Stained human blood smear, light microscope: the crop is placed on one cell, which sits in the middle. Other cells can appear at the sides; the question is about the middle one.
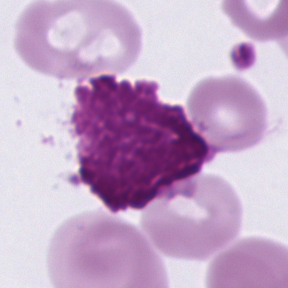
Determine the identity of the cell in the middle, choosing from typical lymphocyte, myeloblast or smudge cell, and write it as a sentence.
The cell centred in this crop is categorized as a smudge cell.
